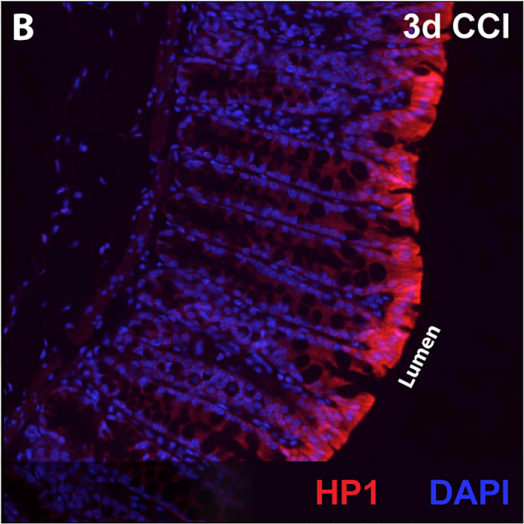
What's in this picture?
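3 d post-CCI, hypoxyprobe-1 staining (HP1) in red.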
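Colonic mucosa with parallel crypts opening onto the luminal surface, their walls lined by epithelial cells with blue nuclei. A bright red band follows the surface epithelium along the lumen, and red staining extends down into the cytoplasm of the crypt epithelium, fading toward the crypt bases.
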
